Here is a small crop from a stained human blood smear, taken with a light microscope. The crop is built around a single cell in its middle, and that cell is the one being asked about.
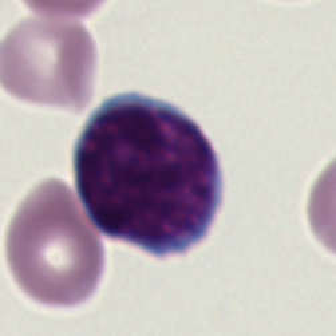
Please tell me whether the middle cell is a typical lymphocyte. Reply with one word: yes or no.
yes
